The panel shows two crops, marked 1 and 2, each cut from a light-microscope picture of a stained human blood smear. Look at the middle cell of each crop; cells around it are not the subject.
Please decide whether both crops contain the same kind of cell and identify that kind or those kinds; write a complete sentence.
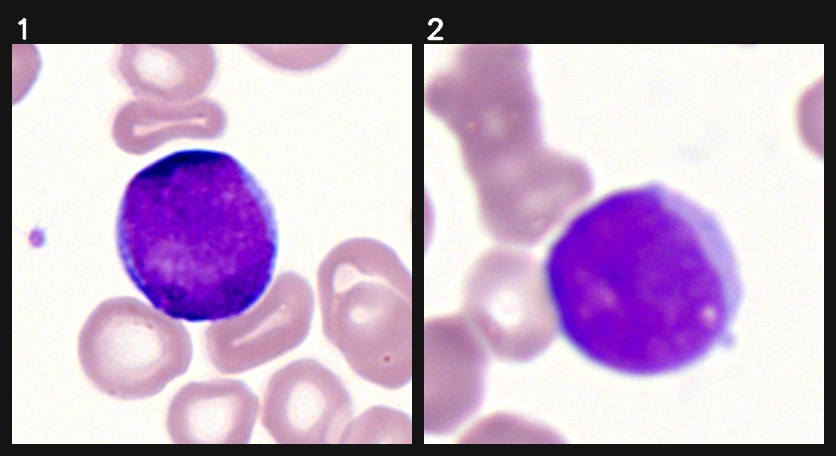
Yes, what both crops show is myeloblasts.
